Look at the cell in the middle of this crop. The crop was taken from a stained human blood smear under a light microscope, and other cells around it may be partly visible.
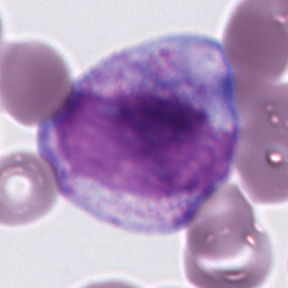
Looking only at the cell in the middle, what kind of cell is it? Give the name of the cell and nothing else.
atypical promyelocyte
